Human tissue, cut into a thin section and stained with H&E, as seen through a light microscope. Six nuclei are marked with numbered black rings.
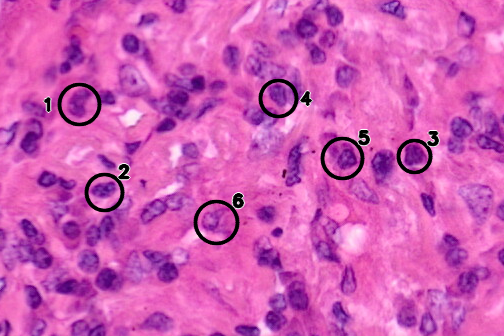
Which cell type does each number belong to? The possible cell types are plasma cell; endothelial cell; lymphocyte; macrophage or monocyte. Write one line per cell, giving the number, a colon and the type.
1: plasma cell
2: lymphocyte
3: plasma cell
4: lymphocyte
5: plasma cell
6: macrophage or monocyte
